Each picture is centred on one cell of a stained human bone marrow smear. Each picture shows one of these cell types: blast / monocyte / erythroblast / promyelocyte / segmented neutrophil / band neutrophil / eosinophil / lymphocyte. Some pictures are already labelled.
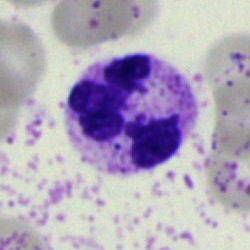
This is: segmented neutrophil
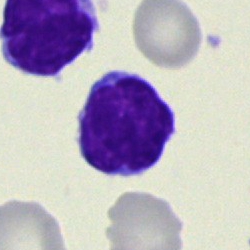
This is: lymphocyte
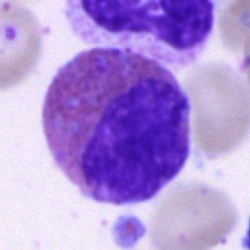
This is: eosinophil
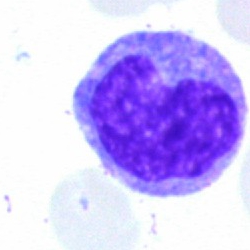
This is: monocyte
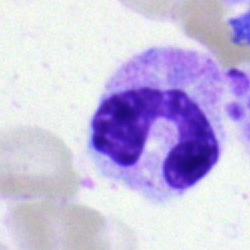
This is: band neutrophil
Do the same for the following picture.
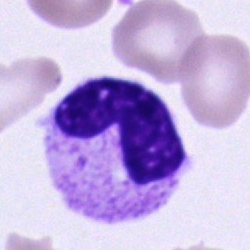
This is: band neutrophil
